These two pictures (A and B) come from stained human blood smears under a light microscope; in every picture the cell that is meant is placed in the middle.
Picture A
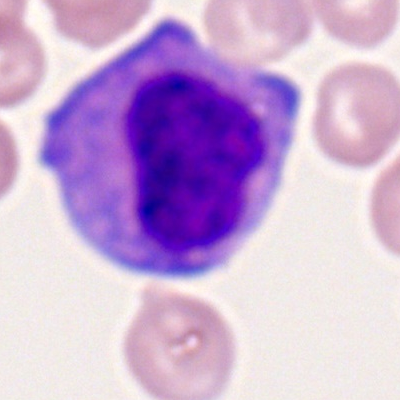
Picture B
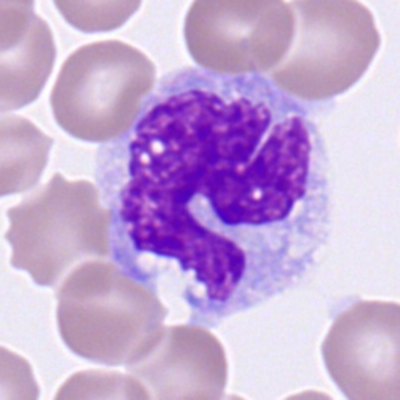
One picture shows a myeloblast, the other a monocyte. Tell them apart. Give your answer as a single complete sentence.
Picture A shows a myeloblast and picture B shows a monocyte.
